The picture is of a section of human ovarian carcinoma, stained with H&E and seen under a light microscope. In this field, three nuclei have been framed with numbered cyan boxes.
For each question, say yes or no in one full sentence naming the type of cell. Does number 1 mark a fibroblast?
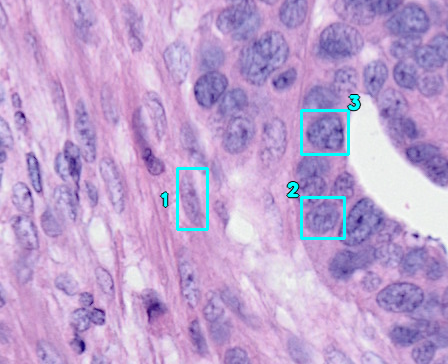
Yes, in this tissue section, number 1 is a fibroblast.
